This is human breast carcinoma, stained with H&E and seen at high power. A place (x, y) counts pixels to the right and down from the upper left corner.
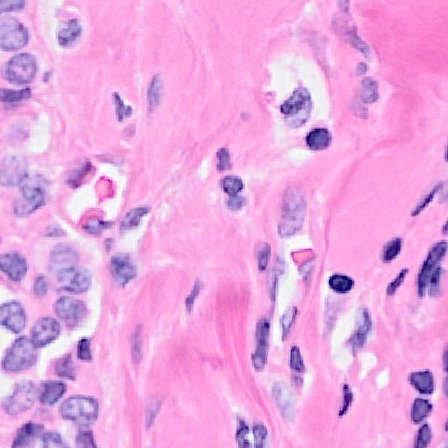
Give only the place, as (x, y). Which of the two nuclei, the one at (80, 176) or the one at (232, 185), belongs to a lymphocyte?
(232, 185)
